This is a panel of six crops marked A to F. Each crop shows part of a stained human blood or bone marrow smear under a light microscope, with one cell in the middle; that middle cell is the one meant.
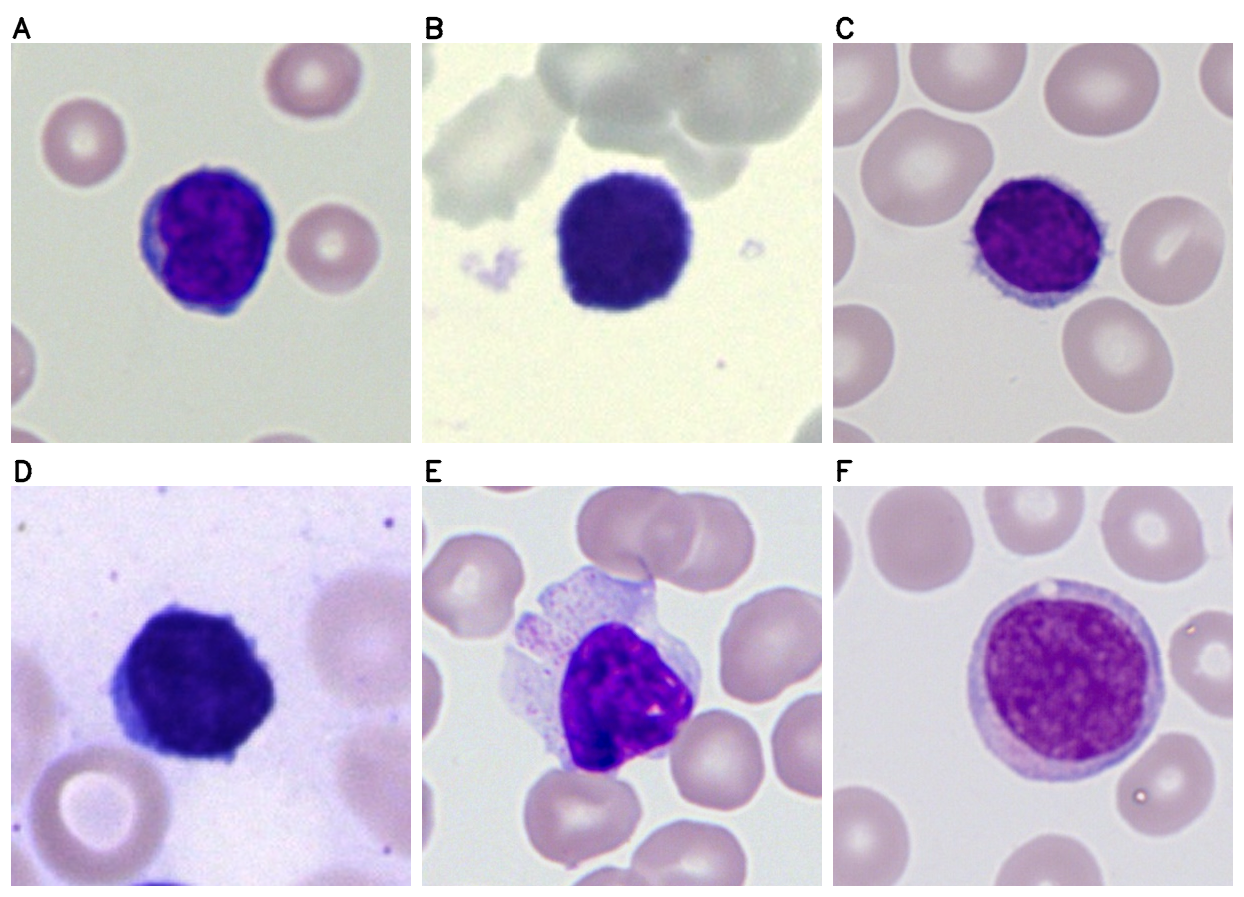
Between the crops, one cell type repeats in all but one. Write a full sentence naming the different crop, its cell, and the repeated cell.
Crop F contains a blast, setting it apart from the other crops, which all contain lymphocytes.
